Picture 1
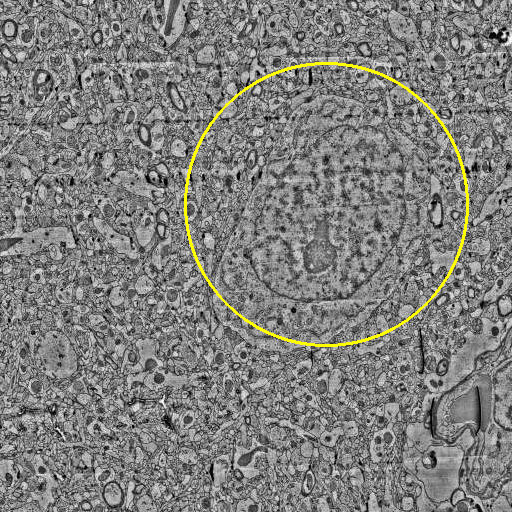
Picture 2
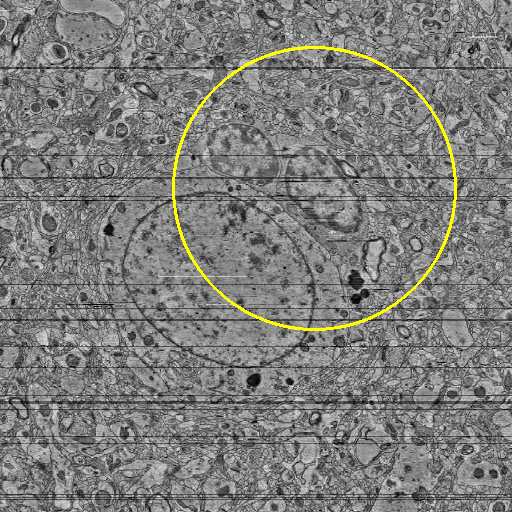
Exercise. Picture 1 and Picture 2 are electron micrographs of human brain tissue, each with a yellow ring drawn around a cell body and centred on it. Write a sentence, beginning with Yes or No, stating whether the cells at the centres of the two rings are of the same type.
No, the cells at the centres of the rings are of two types.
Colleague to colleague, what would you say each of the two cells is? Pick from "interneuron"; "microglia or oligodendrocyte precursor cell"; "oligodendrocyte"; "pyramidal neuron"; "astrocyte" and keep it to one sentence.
The cell in the first picture is an interneuron; the second picture's cell is an oligodendrocyte.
